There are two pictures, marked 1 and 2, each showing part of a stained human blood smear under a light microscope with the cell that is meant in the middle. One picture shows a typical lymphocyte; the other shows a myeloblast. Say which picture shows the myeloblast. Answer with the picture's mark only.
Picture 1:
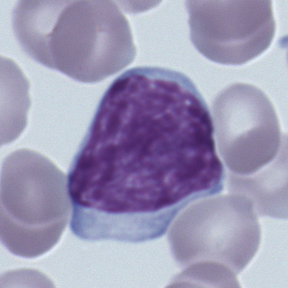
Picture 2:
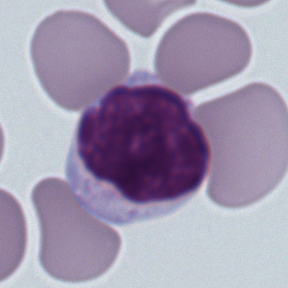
1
